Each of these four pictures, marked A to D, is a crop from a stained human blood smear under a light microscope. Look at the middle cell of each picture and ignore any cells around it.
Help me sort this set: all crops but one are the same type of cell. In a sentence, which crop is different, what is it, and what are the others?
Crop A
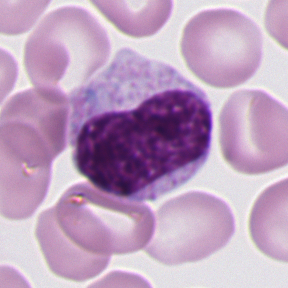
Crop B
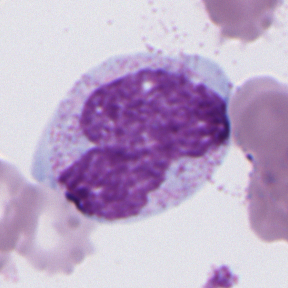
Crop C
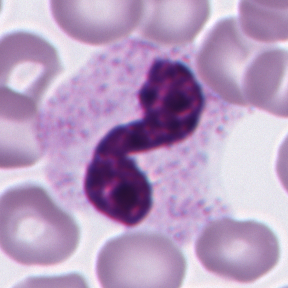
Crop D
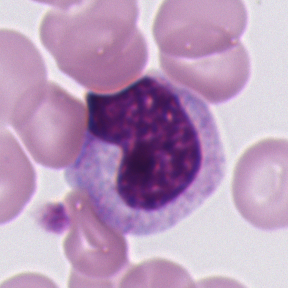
Crop C is a segmented neutrophil, and the other crops all show band neutrophils.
